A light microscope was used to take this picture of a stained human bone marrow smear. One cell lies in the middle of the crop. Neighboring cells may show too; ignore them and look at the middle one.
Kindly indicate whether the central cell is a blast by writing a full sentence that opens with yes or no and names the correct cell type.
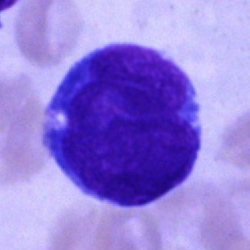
Yes, the cell that lies centrally is a blast.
